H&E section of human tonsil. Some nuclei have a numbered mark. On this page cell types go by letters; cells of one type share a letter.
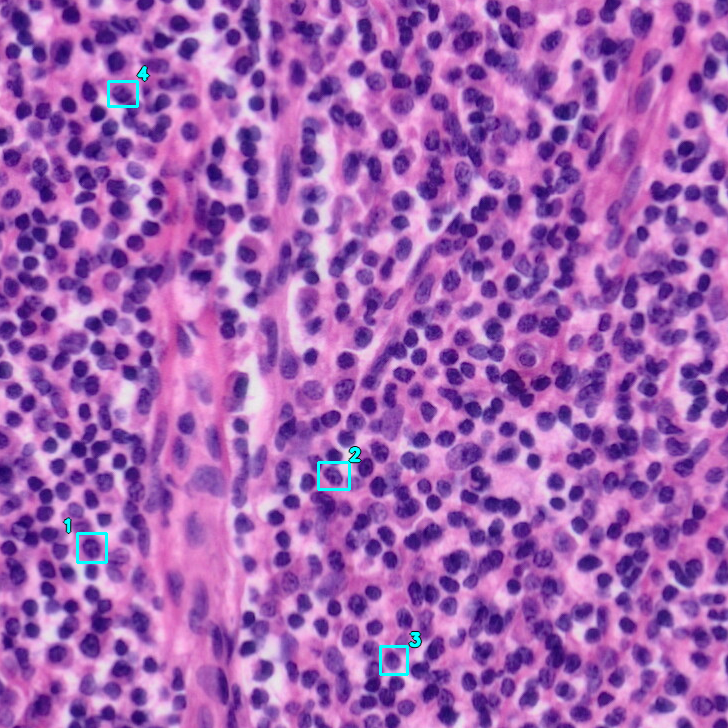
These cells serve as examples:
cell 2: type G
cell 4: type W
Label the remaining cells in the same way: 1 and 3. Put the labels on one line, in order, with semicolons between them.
type W; type G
